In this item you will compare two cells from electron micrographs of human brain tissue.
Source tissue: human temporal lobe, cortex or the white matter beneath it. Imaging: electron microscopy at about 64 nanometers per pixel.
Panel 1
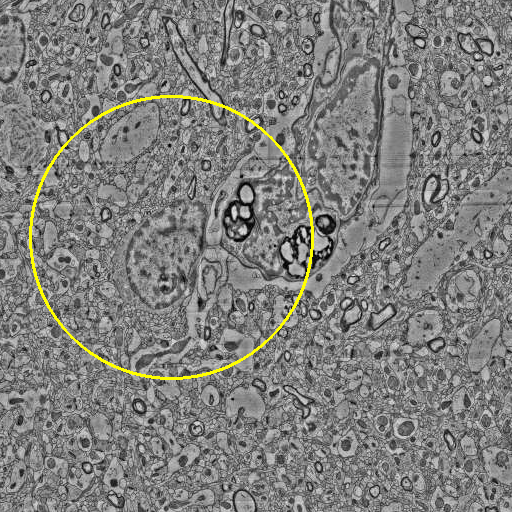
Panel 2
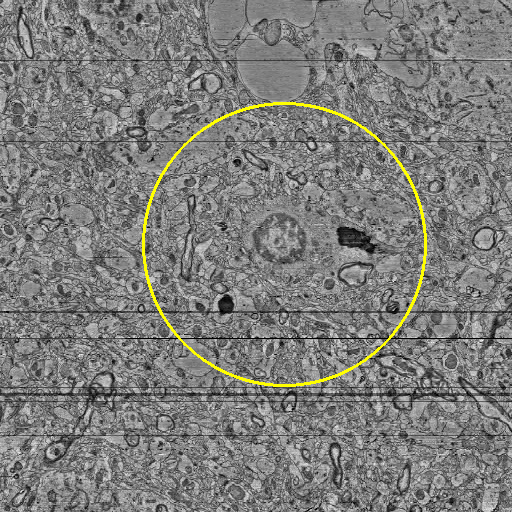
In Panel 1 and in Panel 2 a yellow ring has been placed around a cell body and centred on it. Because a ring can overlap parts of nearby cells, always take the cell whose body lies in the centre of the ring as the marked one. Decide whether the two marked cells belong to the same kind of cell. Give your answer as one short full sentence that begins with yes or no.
Yes, the two marked cells belong to the same kind of cell.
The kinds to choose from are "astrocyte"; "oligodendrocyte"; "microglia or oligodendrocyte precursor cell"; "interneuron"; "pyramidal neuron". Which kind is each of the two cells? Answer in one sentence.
Both rings mark an oligodendrocyte, one in each picture.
